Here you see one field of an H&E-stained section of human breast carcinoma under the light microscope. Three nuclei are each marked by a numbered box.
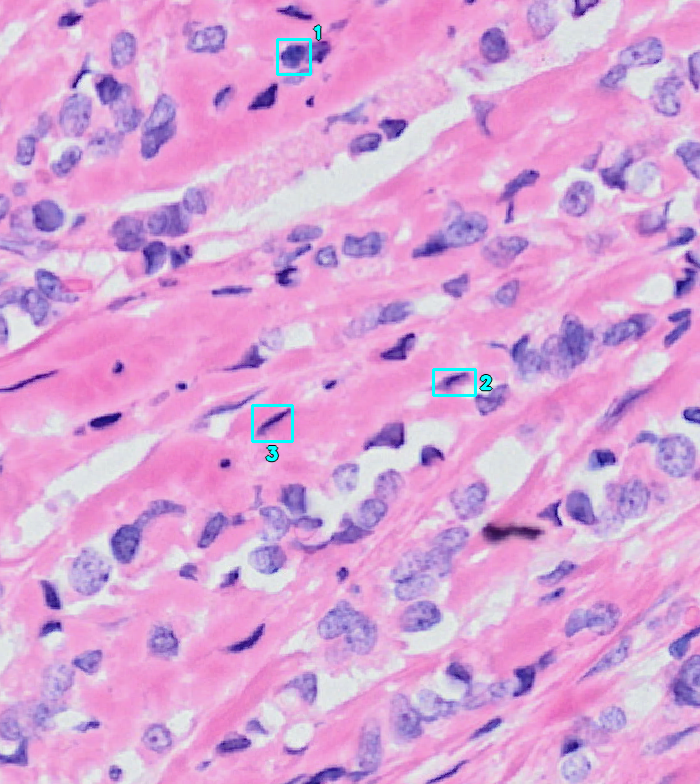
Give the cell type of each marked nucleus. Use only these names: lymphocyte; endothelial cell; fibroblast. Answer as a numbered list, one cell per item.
1. lymphocyte
2. fibroblast
3. fibroblast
